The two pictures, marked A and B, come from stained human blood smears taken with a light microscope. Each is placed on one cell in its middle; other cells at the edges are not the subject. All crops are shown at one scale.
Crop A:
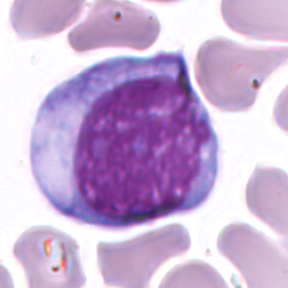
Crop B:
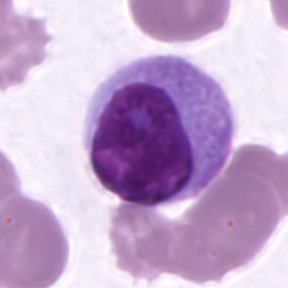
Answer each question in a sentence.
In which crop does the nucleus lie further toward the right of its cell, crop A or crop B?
It is the nucleus in crop A that lies further toward the right of its cell.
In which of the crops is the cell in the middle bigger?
Crop A holds the larger cell; it covers about 1.5 times the area of the cell in crop B.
